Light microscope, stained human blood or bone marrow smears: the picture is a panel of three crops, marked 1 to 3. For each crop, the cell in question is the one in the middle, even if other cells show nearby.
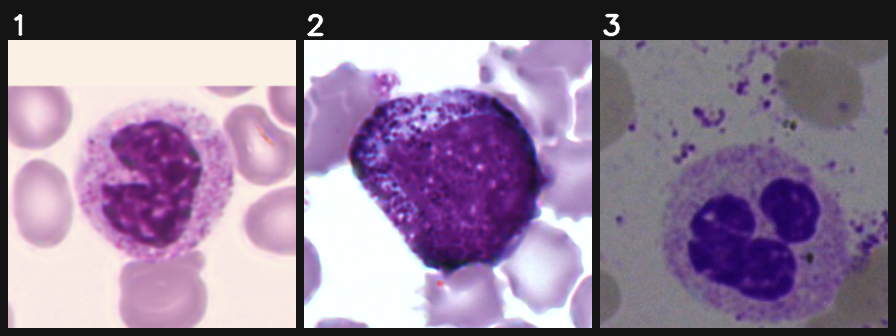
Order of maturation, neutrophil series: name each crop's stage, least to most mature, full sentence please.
The stages, ordered from least to most mature, are crop 2 (a myelocyte), crop 1 (a band neutrophil) and crop 3 (a segmented neutrophil).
